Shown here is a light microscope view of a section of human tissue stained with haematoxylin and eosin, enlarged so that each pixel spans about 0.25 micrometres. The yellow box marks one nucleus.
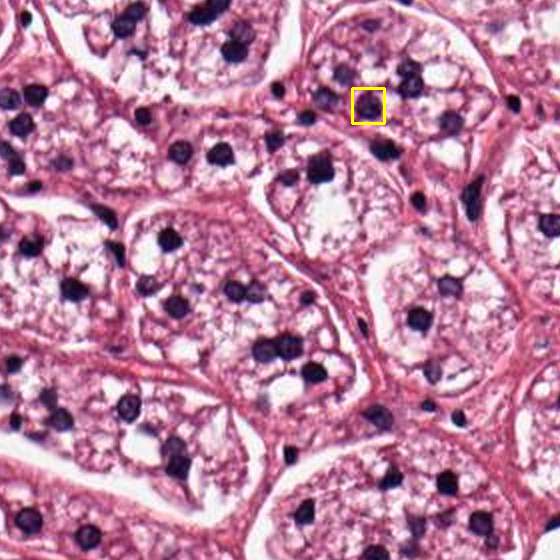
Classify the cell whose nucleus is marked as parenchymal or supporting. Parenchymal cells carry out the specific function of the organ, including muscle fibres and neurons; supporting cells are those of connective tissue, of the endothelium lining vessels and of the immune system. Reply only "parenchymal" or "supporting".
parenchymal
